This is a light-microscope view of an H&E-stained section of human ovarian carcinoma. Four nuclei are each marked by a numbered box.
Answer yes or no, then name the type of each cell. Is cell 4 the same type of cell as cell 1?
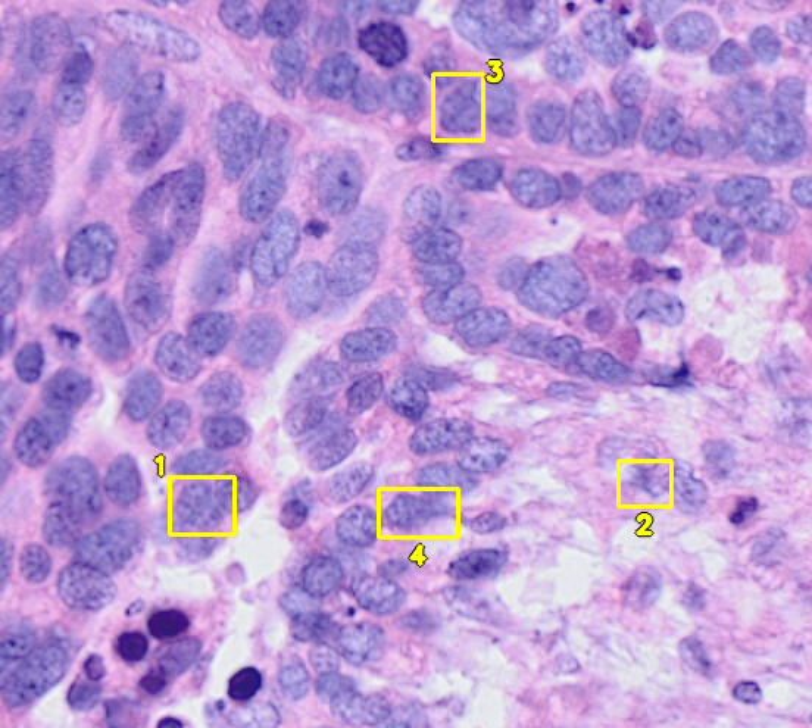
Yes, both are carcinoma cells.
